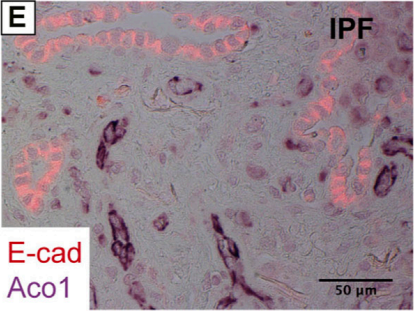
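Elongated, sharply dark purple cells and cell groups lie in the tissue between the red-outlined epithelium, separate from it. The normal thin-walled alveolar pattern is not seen.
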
